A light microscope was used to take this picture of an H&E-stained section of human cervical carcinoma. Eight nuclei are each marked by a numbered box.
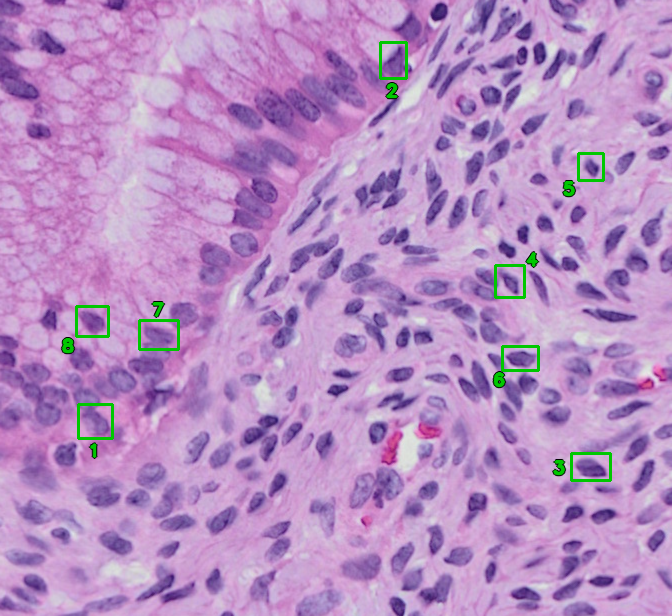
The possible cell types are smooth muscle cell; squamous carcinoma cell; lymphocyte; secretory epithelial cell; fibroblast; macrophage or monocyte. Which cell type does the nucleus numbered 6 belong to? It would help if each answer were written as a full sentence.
The correct label for cell 6 is a fibroblast.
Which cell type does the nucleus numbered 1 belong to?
The correct label for cell 1 is a secretory epithelial cell.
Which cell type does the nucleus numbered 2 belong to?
Within this field of view, the cell labelled 2 is a secretory epithelial cell.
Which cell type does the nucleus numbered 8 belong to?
The cell pointed out by number 8 is a secretory epithelial cell.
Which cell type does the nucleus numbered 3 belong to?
Belonging to a fibroblast is the nucleus that carries the number 3.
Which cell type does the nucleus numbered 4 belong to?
The cell pointed out by number 4 is a fibroblast.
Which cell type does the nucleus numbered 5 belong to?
The cell marked with the number 5 is a fibroblast.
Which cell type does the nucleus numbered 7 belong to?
The correct answer for cell 7 is a secretory epithelial cell.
